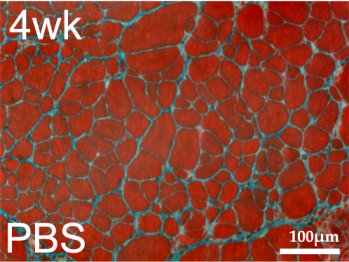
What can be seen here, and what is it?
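This is a cross-section of skeletal muscle in which closely packed myofibers stain red and appear as polygonal to rounded profiles of clearly varying size. Thin blue-green strands of collagenous tissue run between the individual fibers, widening in places where several fibers meet.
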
